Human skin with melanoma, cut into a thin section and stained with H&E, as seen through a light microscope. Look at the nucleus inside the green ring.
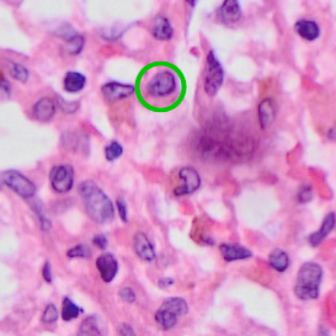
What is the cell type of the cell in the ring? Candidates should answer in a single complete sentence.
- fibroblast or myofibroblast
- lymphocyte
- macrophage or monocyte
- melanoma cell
Cytologically, the cell in the ring is to be regarded as a macrophage or monocyte.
